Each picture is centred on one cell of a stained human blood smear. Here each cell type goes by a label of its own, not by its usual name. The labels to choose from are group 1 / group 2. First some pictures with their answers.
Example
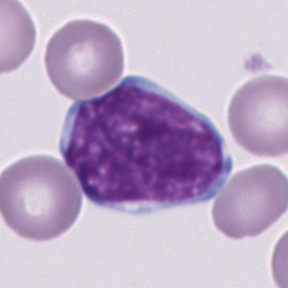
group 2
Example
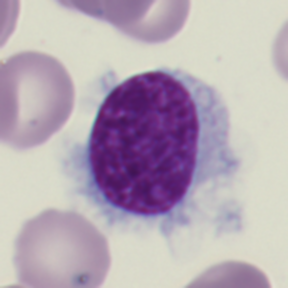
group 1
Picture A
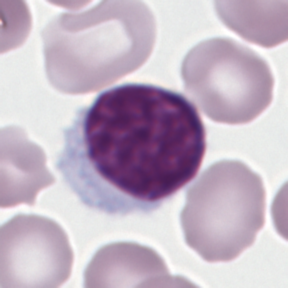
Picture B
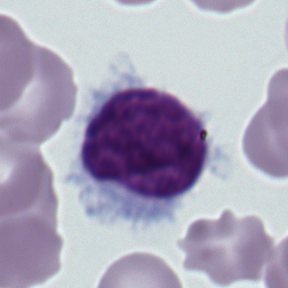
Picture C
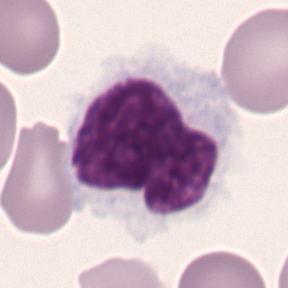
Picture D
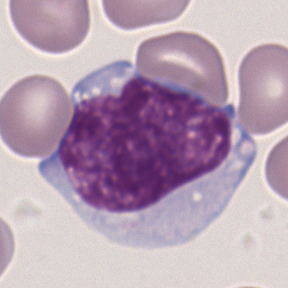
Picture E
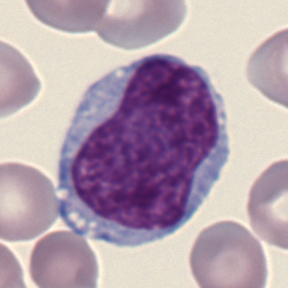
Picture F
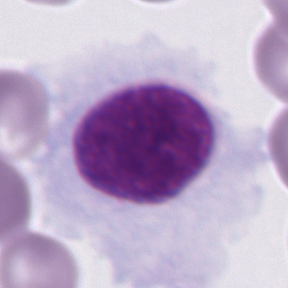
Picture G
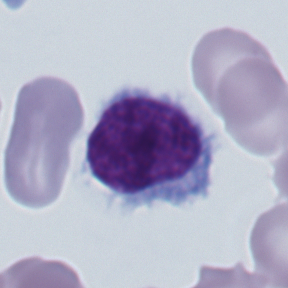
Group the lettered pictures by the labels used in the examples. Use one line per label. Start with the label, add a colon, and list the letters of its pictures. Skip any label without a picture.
group 1: A, B, C, F, G
group 2: D, E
